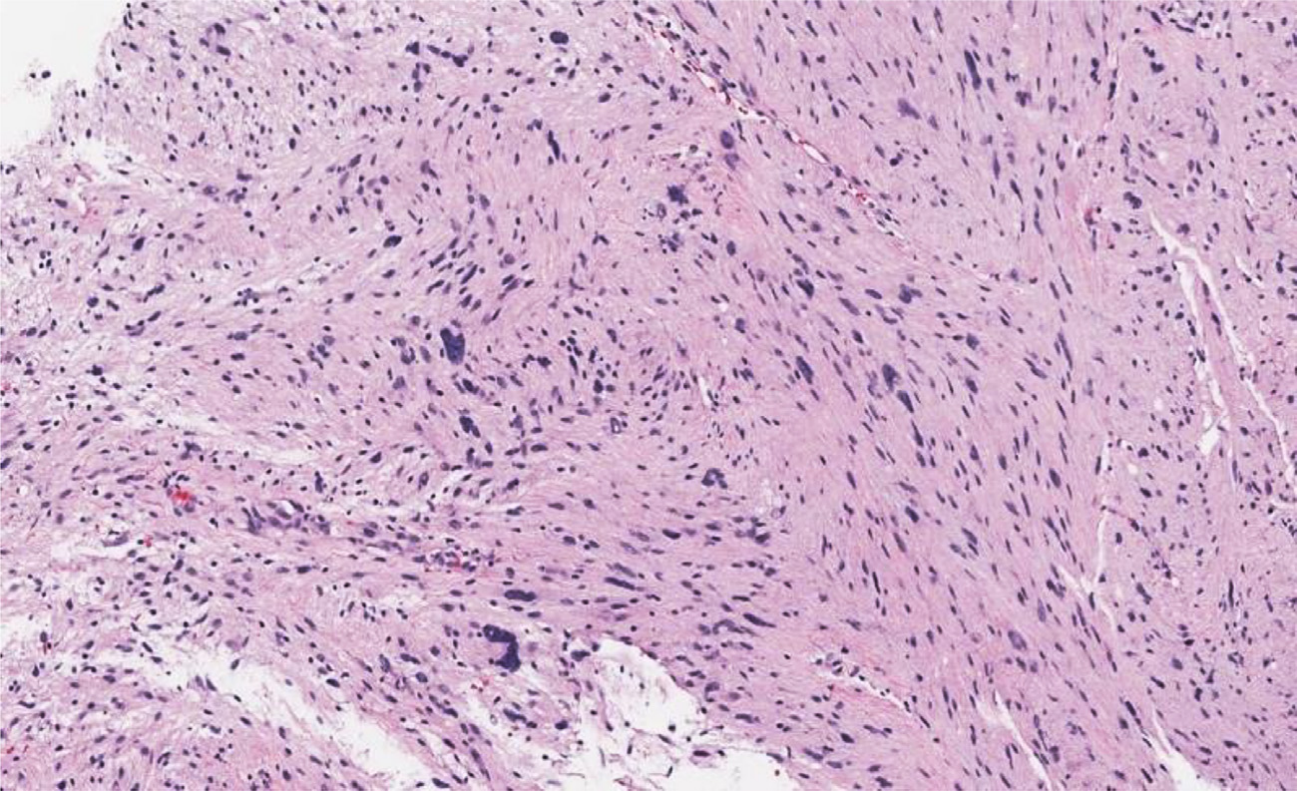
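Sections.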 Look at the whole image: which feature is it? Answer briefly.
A: fascicles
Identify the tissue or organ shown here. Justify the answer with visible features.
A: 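Spindle cell neoplasm. Densely cellular tissue made of elongated cells with spindle-shaped nuclei.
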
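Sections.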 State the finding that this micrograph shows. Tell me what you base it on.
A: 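A few scattered nuclei are much larger than their neighbours. These nuclei are dark and irregular or lobulated in shape. Most other nuclei are small and bland. On this evidence: enlarged, bizarre, hyperchromatic.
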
